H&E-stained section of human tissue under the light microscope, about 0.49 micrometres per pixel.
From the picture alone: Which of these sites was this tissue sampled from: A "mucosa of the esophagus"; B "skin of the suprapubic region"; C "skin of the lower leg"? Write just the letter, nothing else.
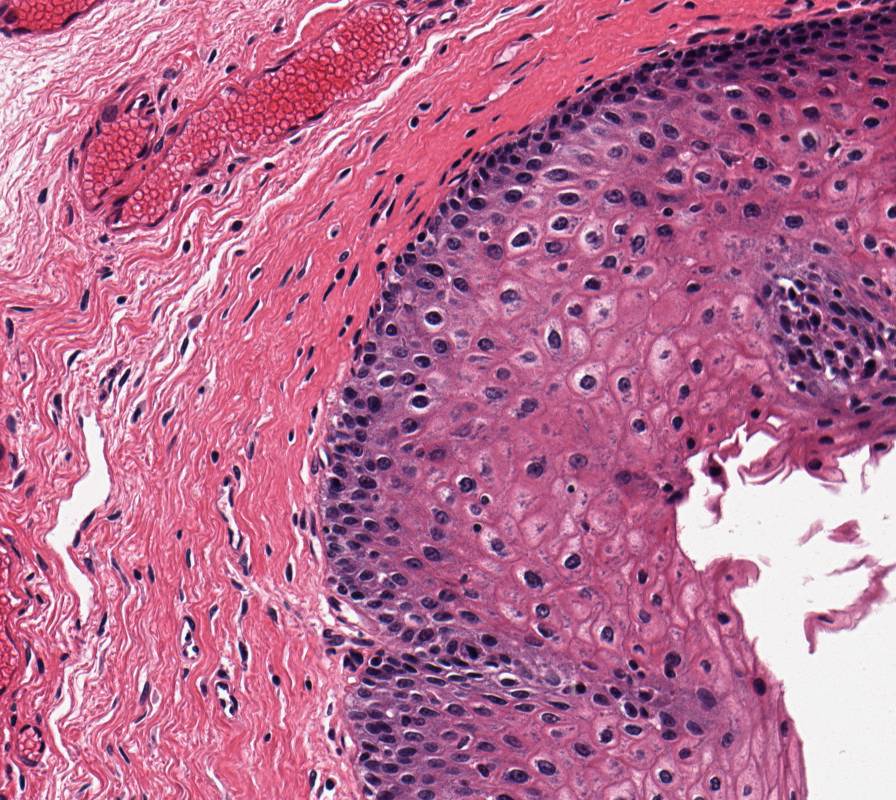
A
